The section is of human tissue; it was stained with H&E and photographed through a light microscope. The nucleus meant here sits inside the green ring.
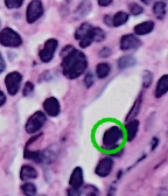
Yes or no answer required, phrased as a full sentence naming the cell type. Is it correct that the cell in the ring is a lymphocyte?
Yes, calling the cell in the ring a lymphocyte is correct.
